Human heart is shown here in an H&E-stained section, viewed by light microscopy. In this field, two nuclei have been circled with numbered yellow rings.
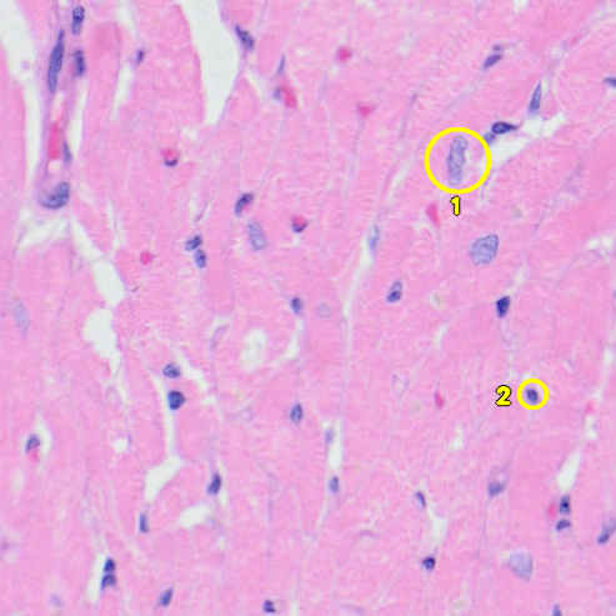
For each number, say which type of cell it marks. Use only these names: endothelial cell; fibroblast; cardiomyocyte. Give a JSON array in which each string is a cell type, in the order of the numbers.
["cardiomyocyte", "endothelial cell"]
